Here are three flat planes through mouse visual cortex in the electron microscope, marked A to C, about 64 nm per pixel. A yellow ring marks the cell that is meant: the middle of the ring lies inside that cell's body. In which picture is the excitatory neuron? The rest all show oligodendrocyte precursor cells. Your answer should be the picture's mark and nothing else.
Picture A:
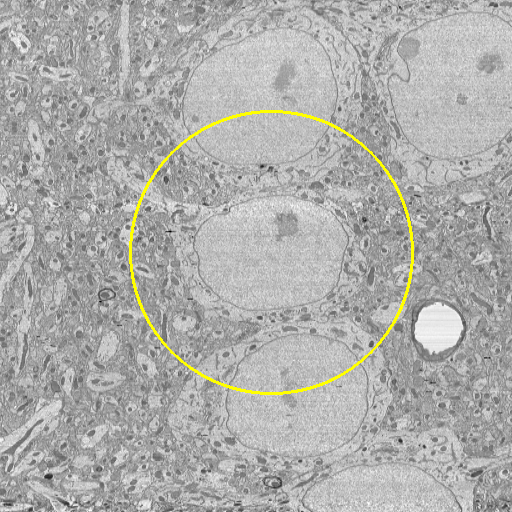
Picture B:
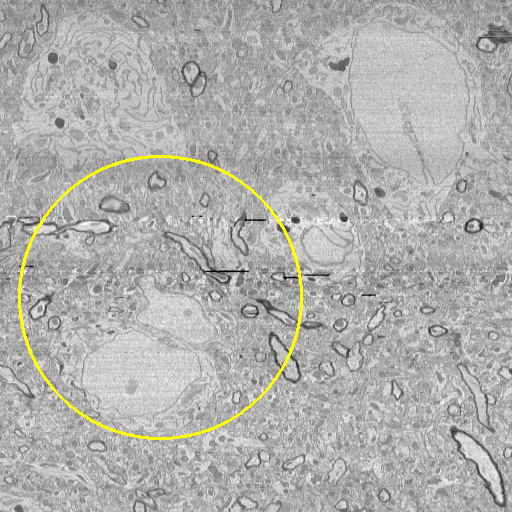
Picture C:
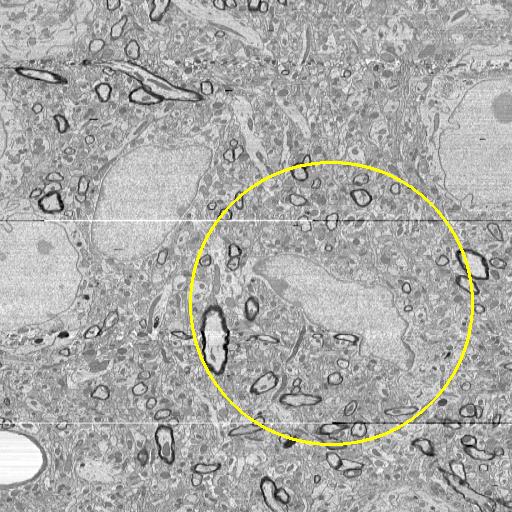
A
